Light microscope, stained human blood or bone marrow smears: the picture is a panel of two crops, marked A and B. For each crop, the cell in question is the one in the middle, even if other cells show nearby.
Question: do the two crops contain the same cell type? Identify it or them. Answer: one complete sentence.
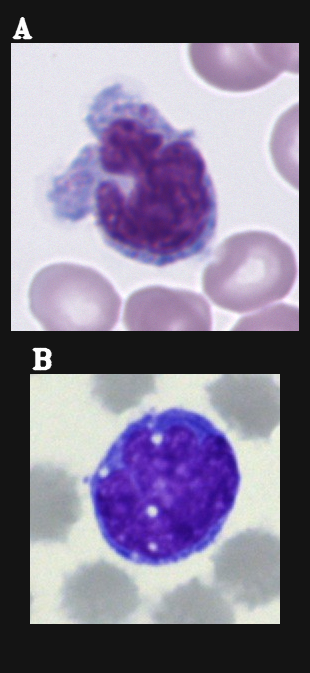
Yes, both crops show monocytes, the one and the other.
